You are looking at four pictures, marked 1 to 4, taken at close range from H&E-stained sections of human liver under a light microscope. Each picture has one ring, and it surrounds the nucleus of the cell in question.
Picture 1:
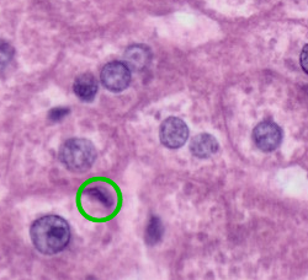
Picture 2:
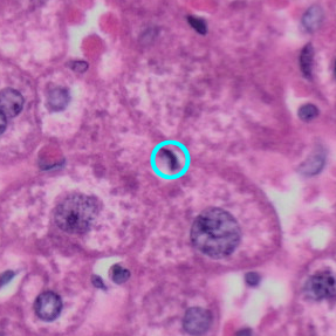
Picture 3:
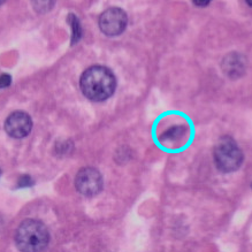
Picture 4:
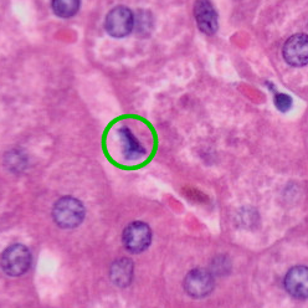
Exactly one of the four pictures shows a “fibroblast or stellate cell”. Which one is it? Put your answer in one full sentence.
The “fibroblast or stellate cell” is the one in picture 1.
